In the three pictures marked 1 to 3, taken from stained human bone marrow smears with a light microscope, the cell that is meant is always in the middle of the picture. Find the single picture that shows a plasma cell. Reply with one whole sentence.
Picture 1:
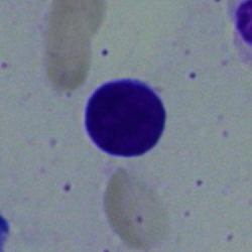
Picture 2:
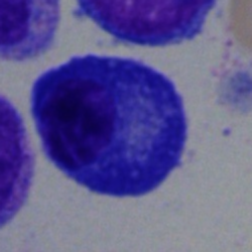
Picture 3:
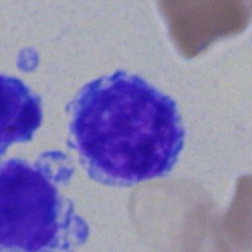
It is picture 2 that shows the plasma cell.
